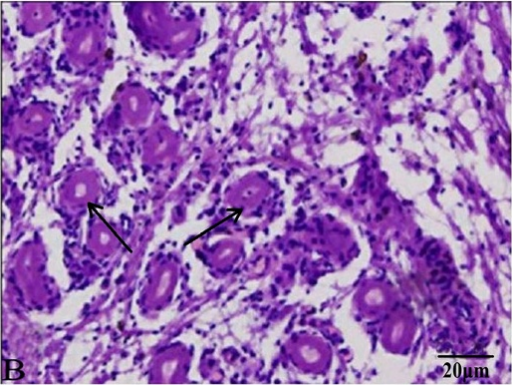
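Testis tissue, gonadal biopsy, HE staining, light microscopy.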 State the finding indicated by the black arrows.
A: Hyalinization of seminiferous tubules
